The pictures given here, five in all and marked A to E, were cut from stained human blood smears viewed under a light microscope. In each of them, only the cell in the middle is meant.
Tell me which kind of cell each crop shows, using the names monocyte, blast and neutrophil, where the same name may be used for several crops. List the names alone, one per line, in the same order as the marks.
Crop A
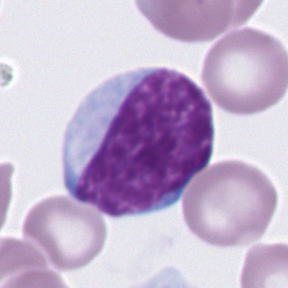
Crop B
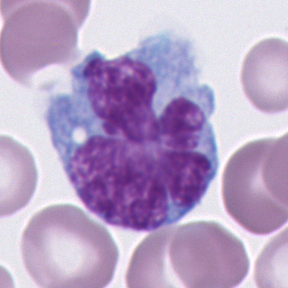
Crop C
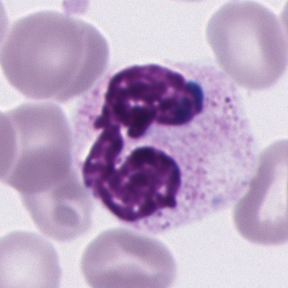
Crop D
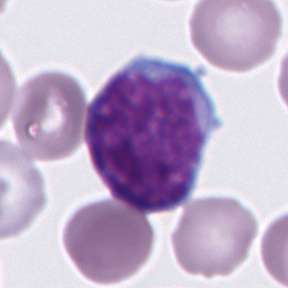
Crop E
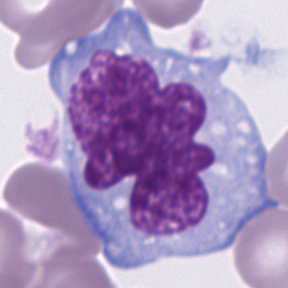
blast
blast
neutrophil
blast
monocyte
